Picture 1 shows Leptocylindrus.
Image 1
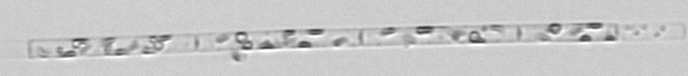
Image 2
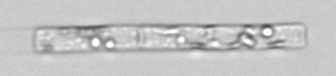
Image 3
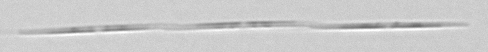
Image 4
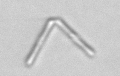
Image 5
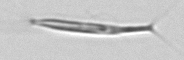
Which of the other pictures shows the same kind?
Picture 2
